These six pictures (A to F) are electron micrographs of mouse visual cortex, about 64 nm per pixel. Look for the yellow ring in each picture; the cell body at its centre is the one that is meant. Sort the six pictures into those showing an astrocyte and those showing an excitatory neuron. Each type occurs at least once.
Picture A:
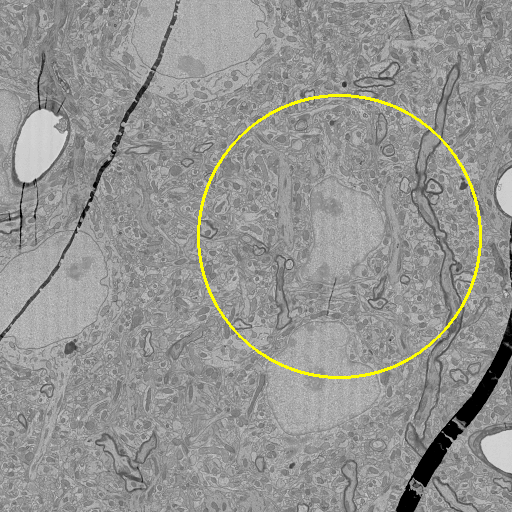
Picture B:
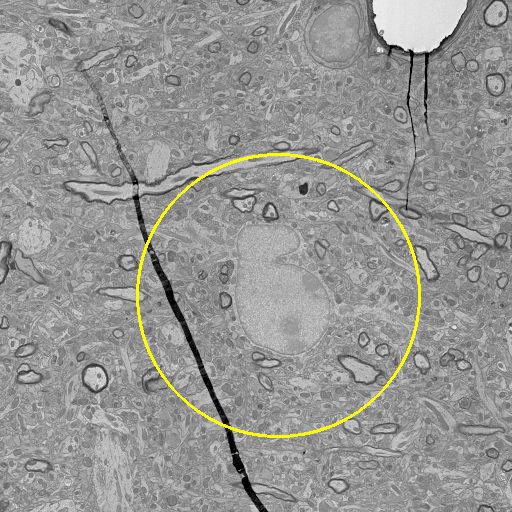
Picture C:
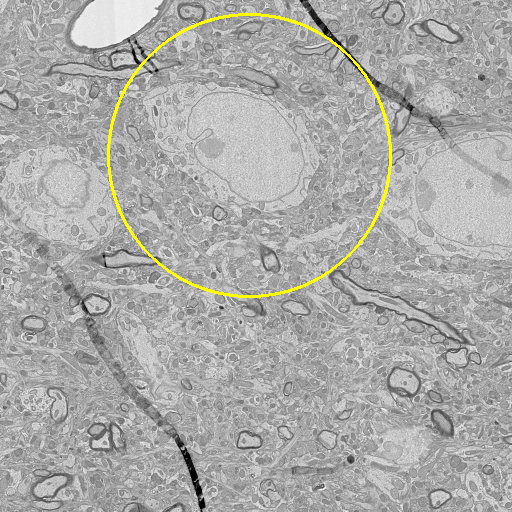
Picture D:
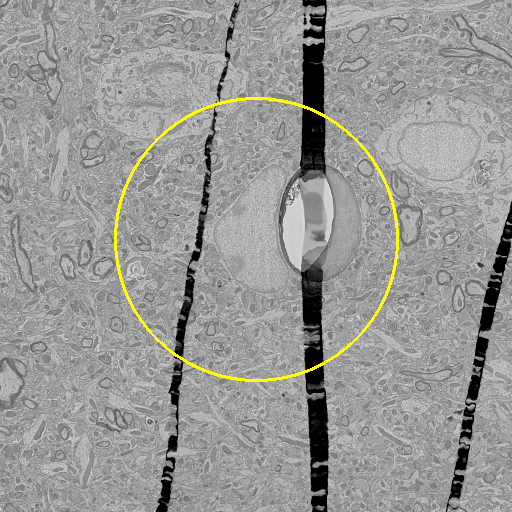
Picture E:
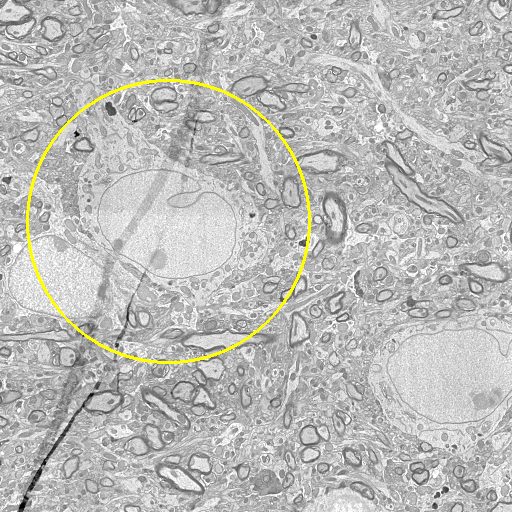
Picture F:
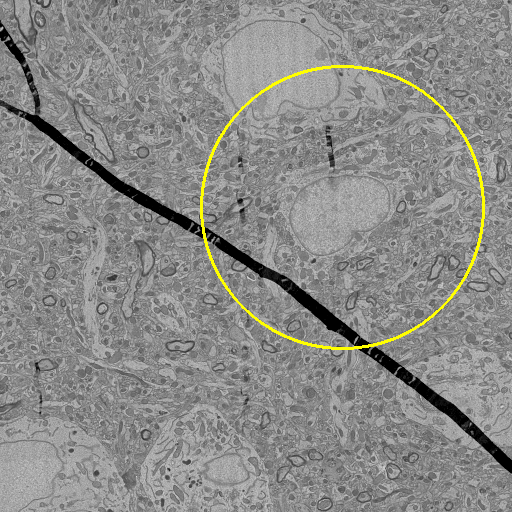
Pictures A, B, D and F show astrocytes, and pictures C and E show excitatory neurons.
